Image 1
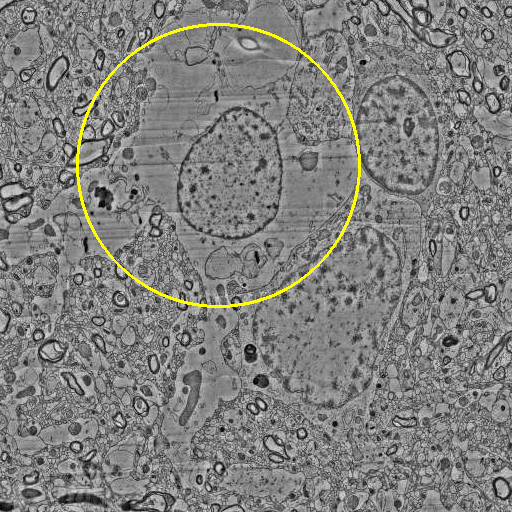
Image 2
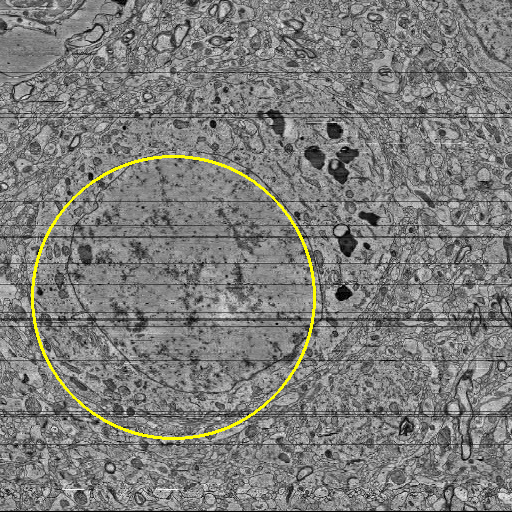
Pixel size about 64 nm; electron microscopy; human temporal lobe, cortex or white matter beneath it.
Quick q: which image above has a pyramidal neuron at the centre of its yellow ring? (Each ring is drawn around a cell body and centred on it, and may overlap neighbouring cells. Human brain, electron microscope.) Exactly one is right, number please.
2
